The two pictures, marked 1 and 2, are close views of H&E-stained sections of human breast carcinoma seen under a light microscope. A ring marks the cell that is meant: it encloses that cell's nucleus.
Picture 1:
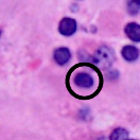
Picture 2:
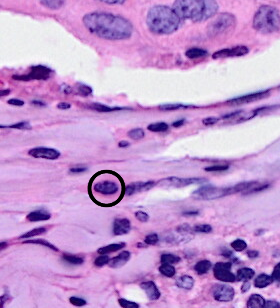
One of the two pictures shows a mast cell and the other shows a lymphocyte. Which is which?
1: lymphocyte
2: mast cell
